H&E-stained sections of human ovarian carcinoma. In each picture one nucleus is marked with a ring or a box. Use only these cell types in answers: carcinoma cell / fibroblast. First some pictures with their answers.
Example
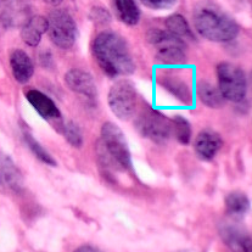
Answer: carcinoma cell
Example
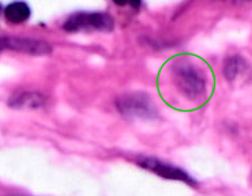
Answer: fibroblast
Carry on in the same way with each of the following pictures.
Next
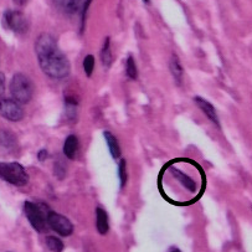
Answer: fibroblast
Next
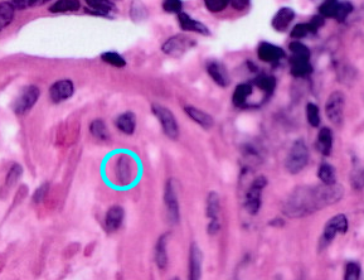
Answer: fibroblast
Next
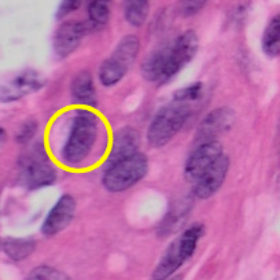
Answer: carcinoma cell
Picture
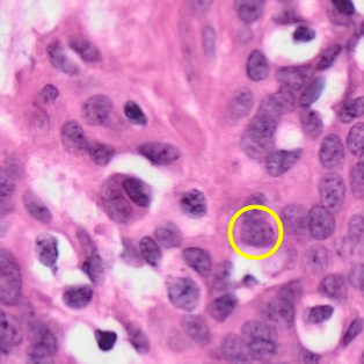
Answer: carcinoma cell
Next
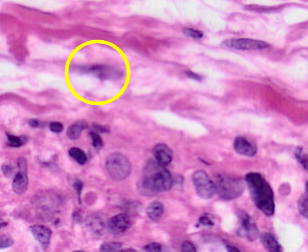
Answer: fibroblast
